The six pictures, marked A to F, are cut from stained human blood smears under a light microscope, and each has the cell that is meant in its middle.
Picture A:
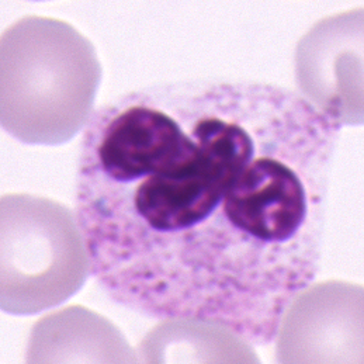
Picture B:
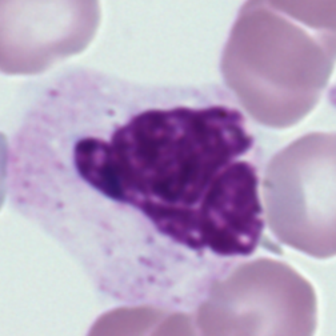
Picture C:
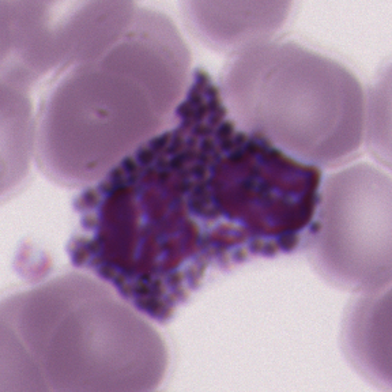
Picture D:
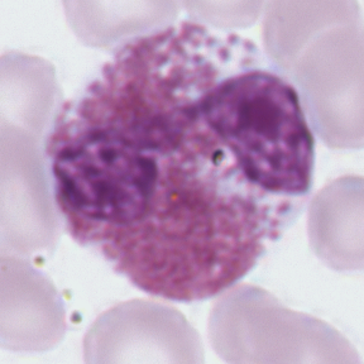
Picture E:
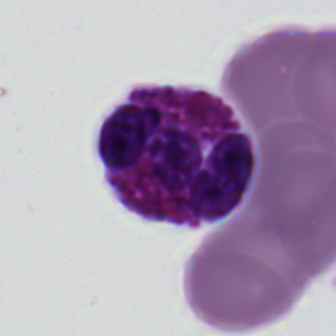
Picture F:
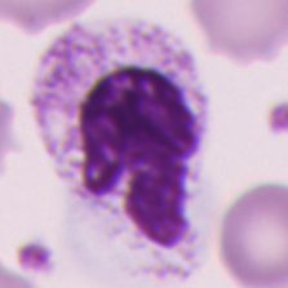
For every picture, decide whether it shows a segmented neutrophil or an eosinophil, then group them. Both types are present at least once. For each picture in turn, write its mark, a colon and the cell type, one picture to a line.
A: segmented neutrophil
B: segmented neutrophil
C: eosinophil
D: eosinophil
E: eosinophil
F: segmented neutrophil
